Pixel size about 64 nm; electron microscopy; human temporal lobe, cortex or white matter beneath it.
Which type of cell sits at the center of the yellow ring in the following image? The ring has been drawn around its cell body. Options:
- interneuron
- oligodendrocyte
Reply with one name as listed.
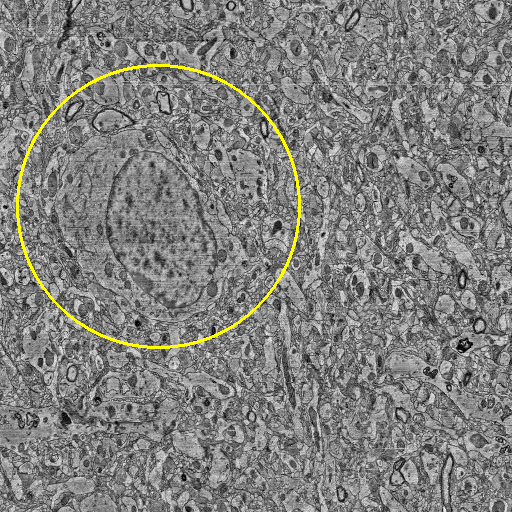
interneuron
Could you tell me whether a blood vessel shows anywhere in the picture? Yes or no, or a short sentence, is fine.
No, the picture includes no blood vessel.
